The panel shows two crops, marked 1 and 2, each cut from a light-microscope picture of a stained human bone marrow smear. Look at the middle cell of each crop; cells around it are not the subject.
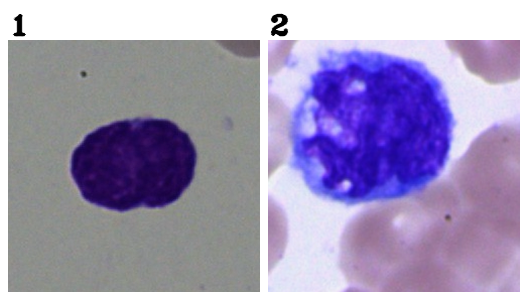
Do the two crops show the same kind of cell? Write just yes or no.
no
